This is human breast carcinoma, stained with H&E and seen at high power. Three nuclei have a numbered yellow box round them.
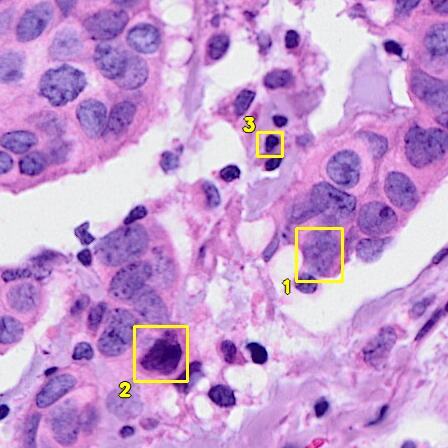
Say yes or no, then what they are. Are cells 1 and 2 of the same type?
Yes, both are carcinoma cells.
